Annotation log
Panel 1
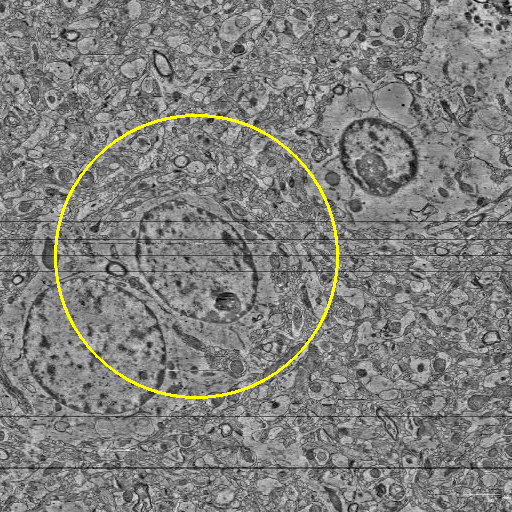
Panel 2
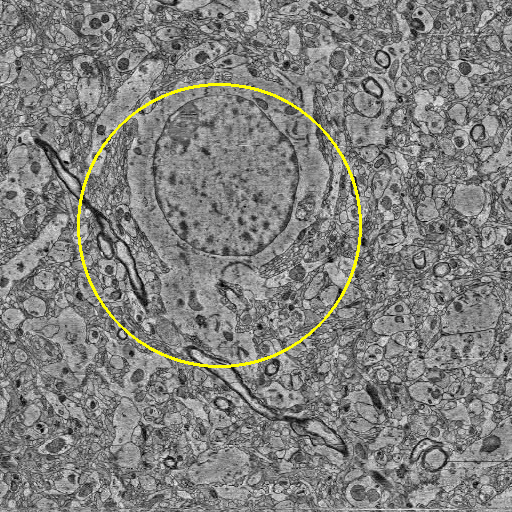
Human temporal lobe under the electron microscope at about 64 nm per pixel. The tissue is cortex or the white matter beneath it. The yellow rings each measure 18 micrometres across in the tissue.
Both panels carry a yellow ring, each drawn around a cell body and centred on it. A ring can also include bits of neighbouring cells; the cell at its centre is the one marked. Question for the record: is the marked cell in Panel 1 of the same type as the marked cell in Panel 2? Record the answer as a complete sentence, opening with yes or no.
Yes, the marked cells in Panel 1 and Panel 2 are of the same type.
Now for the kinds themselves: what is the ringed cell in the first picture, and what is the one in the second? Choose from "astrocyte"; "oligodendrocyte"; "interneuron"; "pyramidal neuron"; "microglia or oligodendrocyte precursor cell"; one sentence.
Both cells are the same kind, each one being an astrocyte.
